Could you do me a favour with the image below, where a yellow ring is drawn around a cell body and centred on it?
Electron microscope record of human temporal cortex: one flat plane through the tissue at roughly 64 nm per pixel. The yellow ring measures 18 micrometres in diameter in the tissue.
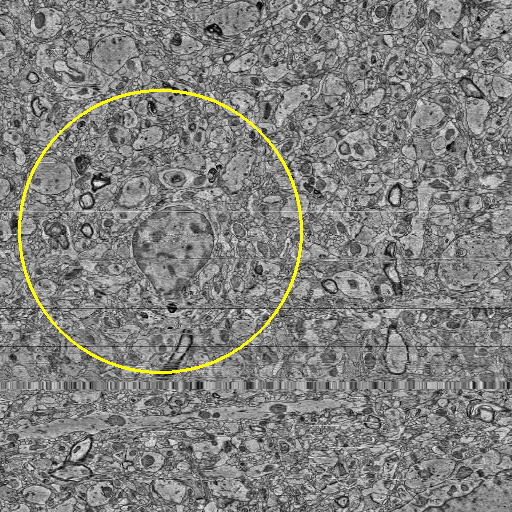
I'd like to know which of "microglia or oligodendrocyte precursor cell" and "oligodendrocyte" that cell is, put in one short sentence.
The cell at the ring's centre is a microglial cell or oligodendrocyte precursor cell.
